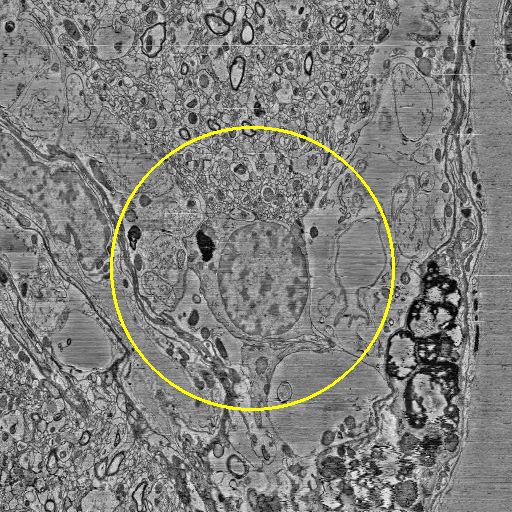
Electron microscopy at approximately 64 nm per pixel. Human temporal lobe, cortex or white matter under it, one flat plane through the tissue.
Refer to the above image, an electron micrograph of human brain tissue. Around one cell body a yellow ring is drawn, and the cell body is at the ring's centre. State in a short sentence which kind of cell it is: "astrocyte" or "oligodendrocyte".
The centre of the ring falls on an oligodendrocyte.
